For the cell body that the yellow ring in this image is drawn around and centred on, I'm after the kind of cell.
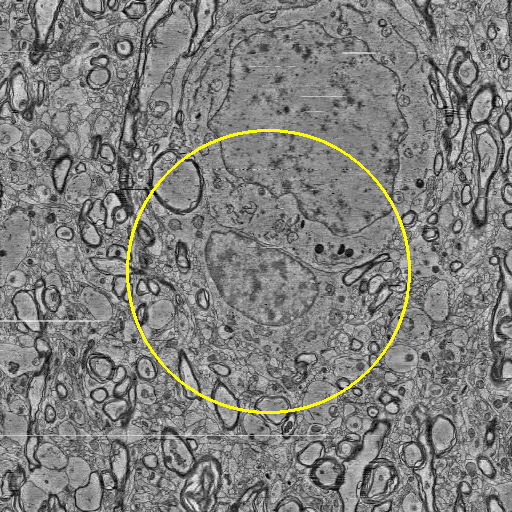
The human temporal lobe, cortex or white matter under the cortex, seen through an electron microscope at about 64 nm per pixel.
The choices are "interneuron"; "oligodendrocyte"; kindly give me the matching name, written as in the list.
oligodendrocyte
